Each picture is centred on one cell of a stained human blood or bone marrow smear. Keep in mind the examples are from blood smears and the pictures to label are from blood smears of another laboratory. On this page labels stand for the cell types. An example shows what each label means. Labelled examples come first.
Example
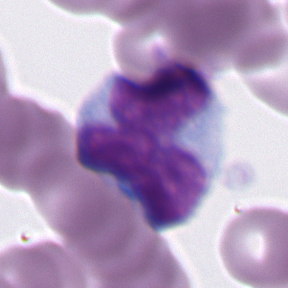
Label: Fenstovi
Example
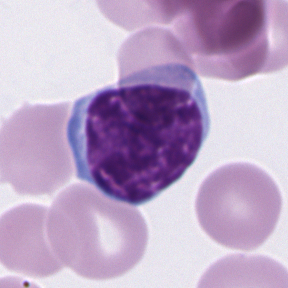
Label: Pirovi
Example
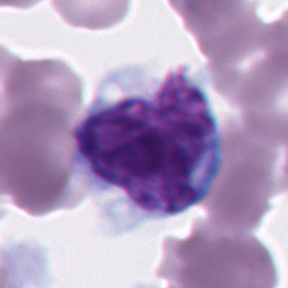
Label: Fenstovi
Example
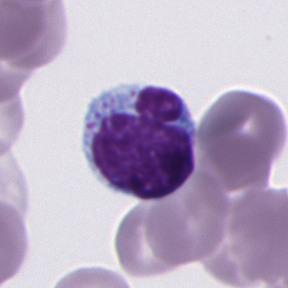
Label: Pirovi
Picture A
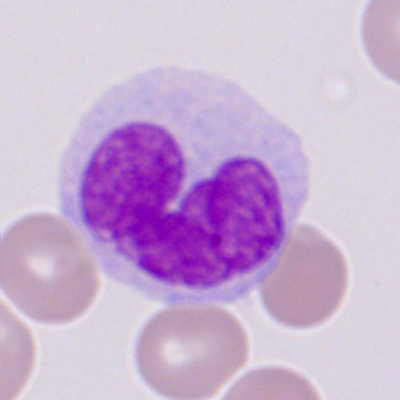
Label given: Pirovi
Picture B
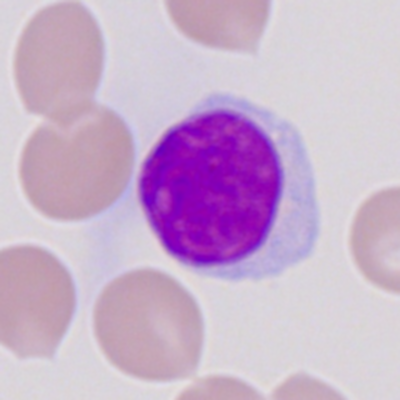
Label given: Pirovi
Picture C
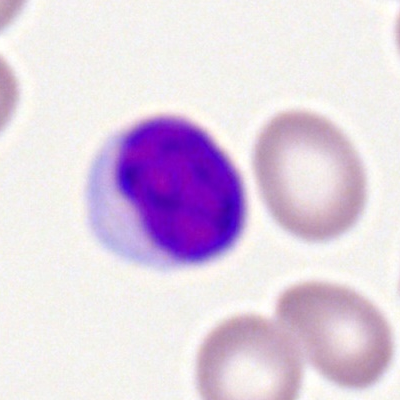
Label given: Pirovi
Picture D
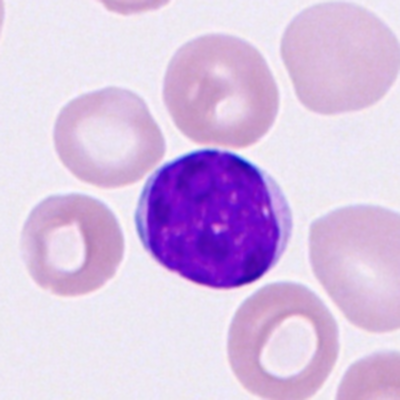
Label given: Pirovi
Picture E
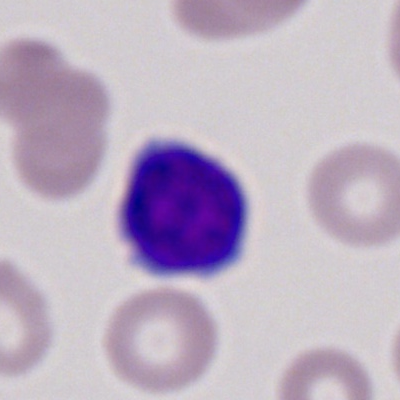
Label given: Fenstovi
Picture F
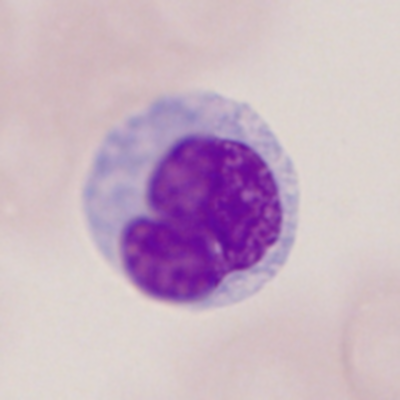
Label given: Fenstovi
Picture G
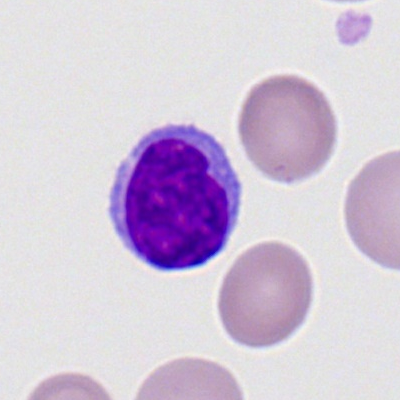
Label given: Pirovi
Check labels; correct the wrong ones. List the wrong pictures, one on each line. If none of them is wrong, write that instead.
A is labelled Pirovi; correct label: Fenstovi
E is labelled Fenstovi; correct label: Pirovi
